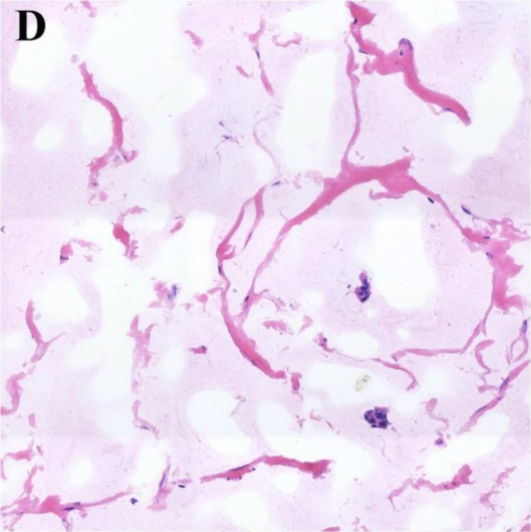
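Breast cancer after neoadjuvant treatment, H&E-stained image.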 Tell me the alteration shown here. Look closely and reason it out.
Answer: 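Mucinous response. Wide pools of pale pink, faintly stained material fill most of the field. Thin bright pink fibrous septa divide the pools. A few small dark purple cell clusters float within the pale material.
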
